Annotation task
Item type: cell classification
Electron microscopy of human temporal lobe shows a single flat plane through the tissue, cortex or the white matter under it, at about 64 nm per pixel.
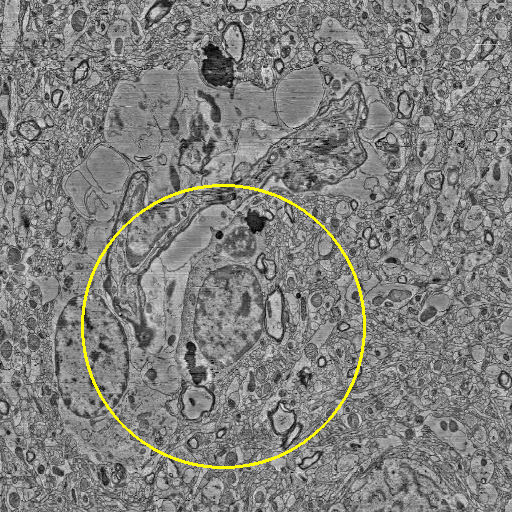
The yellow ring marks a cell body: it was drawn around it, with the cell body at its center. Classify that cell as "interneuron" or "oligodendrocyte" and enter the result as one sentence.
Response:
The ring's center falls on an oligodendrocyte.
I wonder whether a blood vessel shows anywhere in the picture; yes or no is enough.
Yes.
